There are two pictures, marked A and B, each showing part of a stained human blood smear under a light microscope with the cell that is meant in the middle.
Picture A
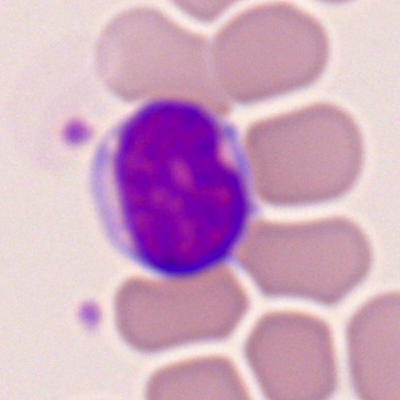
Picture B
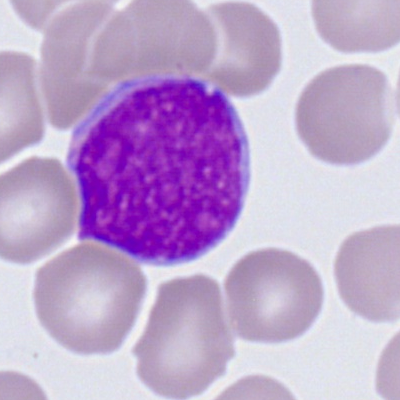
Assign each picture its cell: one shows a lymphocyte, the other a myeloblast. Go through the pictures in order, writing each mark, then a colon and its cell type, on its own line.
A: lymphocyte
B: myeloblast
